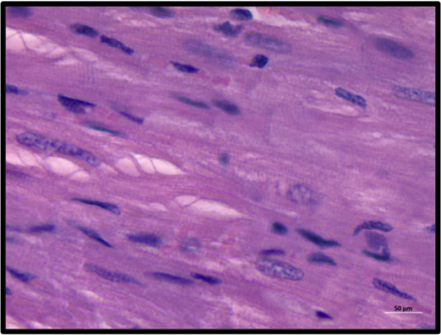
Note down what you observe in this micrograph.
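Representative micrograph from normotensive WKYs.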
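This section shows heart muscle made of cardiomyocytes arranged as long pink fibres running diagonally and in parallel across the field. Oval purple nuclei with granular chromatin lie within the fibres, while darker, slimmer nuclei sit between them. A few pale, elongated clefts separate some of the fibres.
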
